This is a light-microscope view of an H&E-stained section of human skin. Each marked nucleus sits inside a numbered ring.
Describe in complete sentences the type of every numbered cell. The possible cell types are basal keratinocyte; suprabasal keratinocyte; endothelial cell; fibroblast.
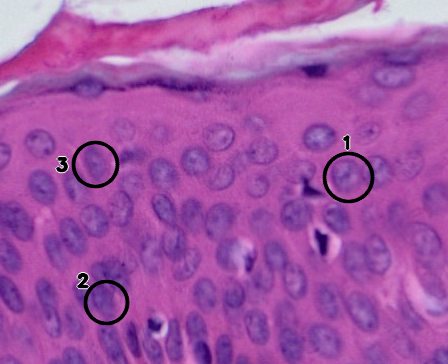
Cell 1 is a suprabasal keratinocyte, cell 2 is a basal keratinocyte and cell 3 is a suprabasal keratinocyte.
